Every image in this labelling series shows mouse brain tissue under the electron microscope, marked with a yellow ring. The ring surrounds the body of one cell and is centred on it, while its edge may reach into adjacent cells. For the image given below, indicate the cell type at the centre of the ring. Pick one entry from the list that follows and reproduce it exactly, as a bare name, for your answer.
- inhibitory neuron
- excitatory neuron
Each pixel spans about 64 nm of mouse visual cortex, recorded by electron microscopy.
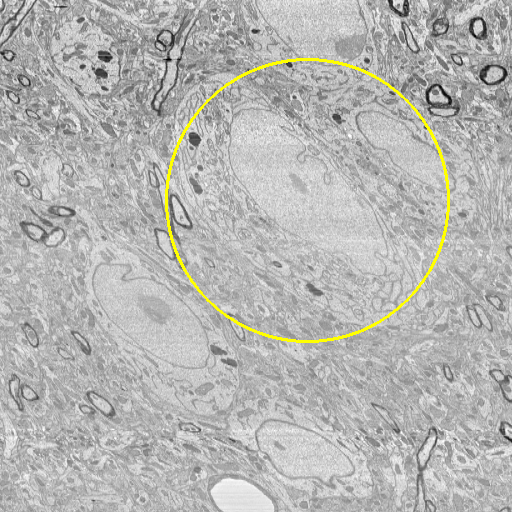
inhibitory neuron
